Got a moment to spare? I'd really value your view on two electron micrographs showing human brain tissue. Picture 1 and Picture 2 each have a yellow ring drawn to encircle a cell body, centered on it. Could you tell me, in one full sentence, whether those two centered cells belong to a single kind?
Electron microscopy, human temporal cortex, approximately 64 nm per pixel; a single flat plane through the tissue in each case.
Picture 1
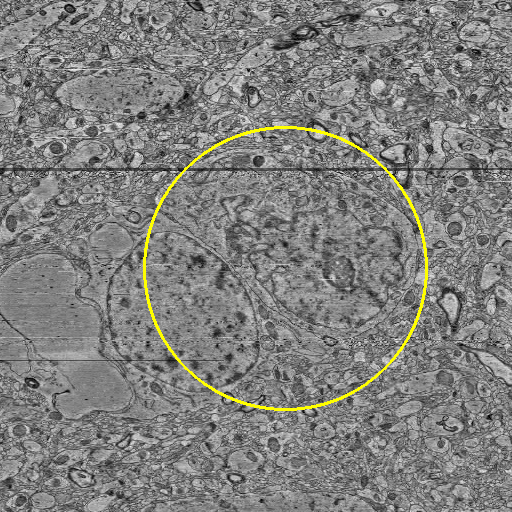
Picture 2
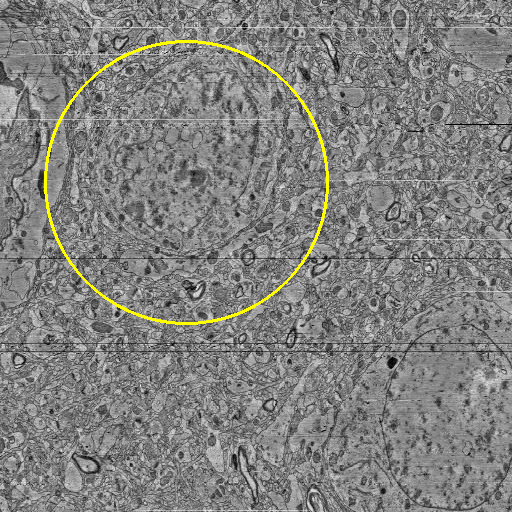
Yes, the two centered cells in Picture 1 and Picture 2 are of a single kind.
